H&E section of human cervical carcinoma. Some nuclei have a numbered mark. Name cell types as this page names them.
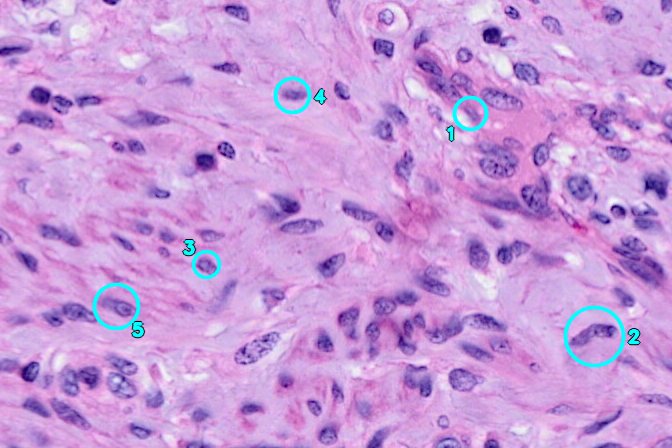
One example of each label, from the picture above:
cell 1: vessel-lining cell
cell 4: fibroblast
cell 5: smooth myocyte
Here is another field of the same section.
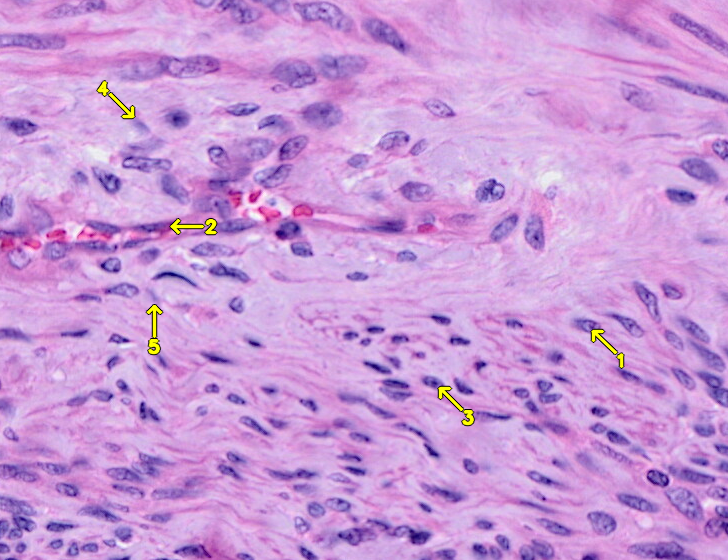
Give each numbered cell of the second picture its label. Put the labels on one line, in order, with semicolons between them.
smooth myocyte; vessel-lining cell; fibroblast; fibroblast; fibroblast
